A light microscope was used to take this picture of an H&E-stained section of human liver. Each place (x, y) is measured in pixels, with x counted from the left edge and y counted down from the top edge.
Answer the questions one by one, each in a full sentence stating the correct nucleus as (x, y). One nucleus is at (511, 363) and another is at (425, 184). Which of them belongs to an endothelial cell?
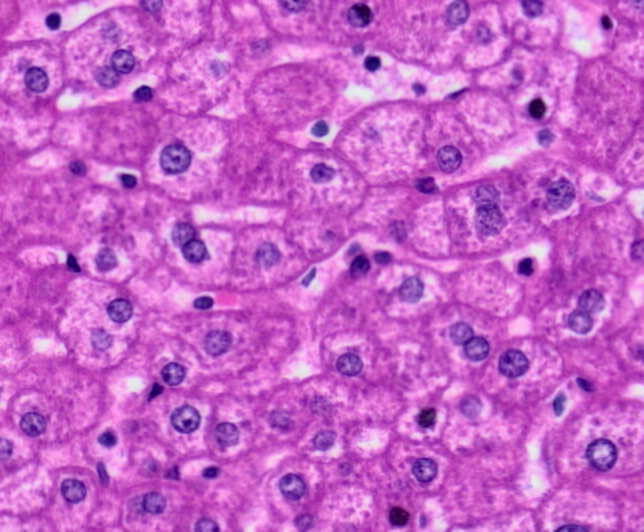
As for which of the two, the nucleus at (425, 184) belongs to an endothelial cell.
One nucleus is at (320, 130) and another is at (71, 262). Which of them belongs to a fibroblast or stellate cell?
As for which of the two, the nucleus at (71, 262) belongs to a fibroblast or stellate cell.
